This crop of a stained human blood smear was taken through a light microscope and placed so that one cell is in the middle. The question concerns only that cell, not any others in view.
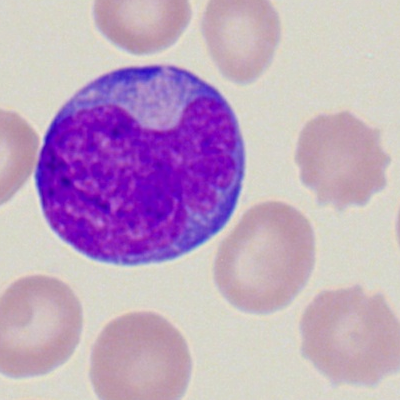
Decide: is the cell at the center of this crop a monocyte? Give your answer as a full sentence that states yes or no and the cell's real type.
No, wrong label: the middle cell is a myeloblast instead of a monocyte.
